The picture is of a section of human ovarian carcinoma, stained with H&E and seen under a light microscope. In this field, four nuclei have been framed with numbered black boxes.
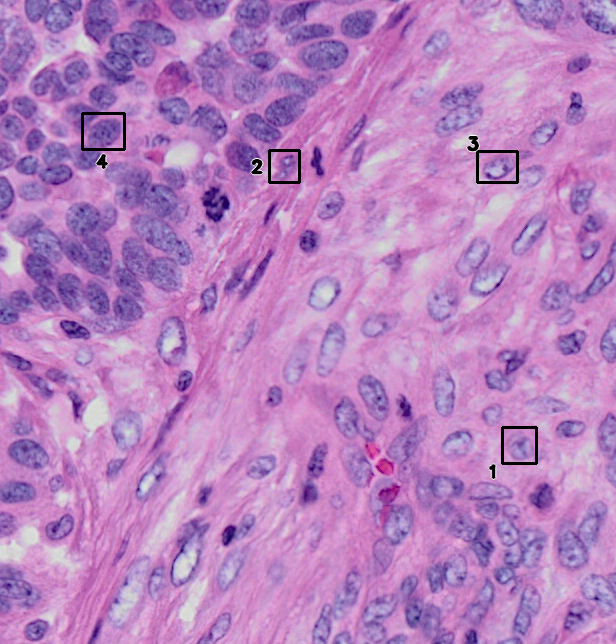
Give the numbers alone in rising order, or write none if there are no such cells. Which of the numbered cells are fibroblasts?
1, 2, 3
